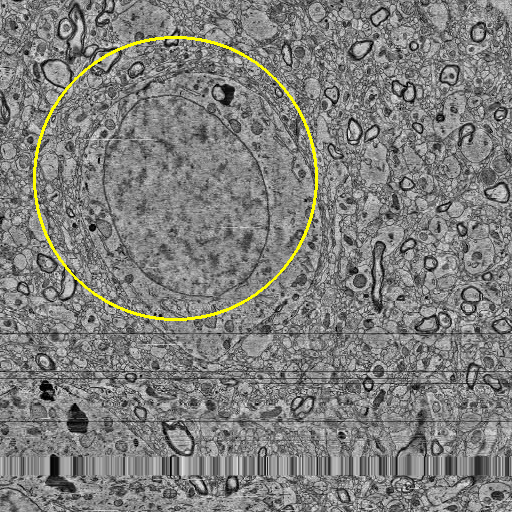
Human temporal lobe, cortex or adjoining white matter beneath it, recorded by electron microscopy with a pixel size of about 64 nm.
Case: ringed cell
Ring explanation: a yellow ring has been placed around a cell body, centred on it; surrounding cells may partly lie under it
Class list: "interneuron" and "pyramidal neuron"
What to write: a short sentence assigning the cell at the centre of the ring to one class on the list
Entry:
The cell at the ring's centre is a pyramidal neuron.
